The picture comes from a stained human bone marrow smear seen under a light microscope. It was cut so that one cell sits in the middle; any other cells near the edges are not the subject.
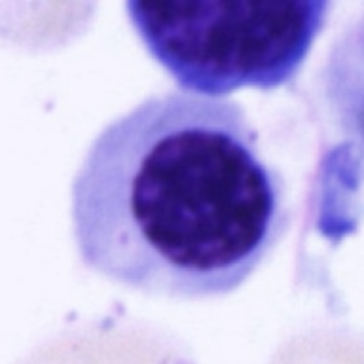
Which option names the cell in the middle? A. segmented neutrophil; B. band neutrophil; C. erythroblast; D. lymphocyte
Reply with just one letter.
C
